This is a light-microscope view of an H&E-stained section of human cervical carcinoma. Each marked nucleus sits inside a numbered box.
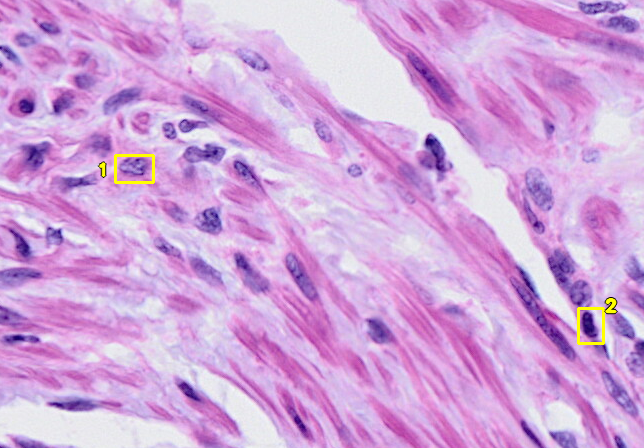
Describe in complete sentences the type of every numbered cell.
Cell 1 is an endothelial cell. Cell 2 is a lymphocyte.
